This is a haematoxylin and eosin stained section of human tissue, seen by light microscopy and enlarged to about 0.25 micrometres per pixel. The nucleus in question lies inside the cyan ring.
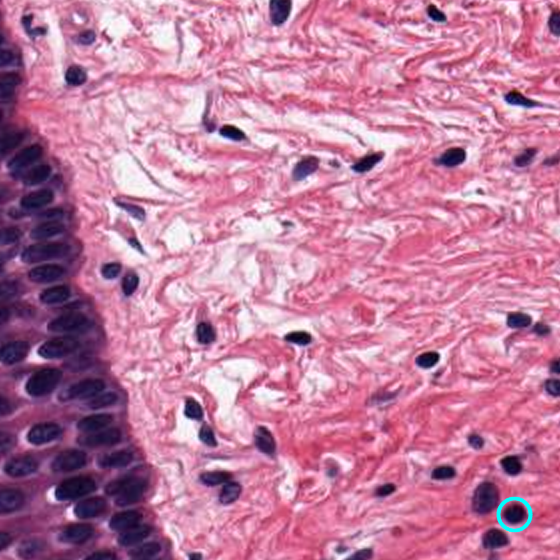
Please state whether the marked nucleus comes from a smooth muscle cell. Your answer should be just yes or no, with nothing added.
no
